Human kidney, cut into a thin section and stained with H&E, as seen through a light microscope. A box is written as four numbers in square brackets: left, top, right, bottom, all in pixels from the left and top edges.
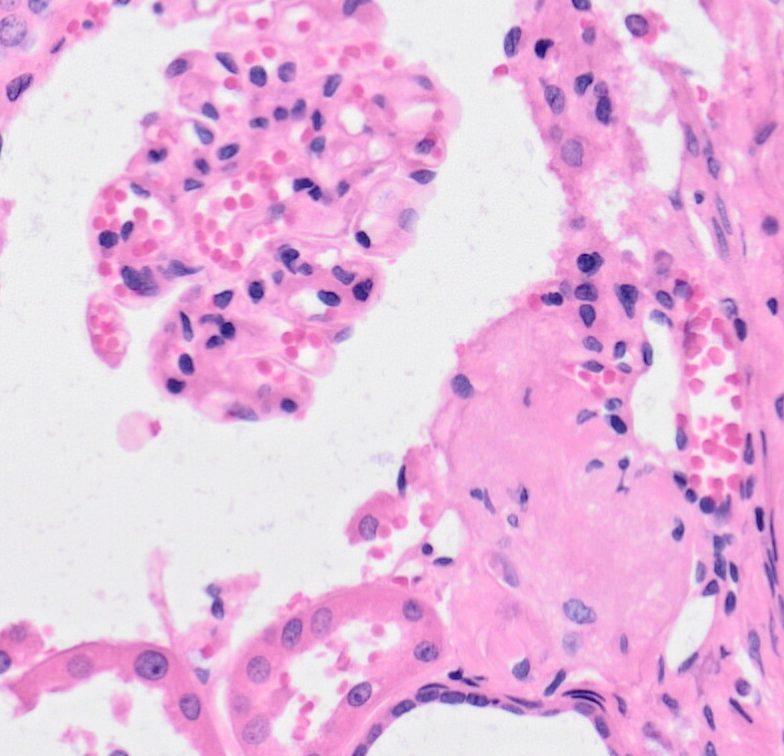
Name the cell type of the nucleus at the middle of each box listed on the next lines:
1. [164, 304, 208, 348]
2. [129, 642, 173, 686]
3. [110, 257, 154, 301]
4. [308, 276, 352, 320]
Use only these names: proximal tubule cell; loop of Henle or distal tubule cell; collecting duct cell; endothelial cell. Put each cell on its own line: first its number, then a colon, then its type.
1: endothelial cell
2: proximal tubule cell
3: endothelial cell
4: endothelial cell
